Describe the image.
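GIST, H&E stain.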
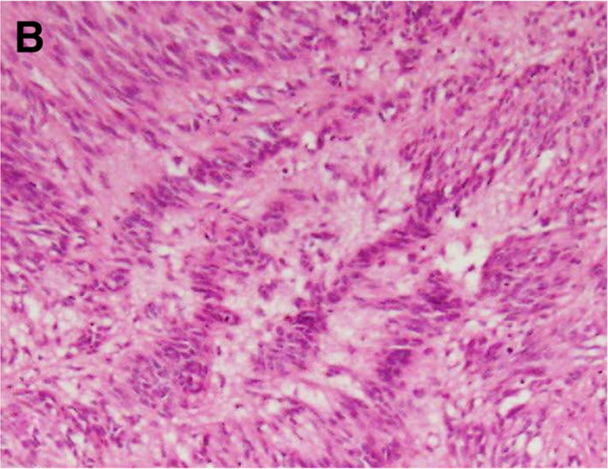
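Spindle tumour cells with elongated dark purple nuclei are gathered into bands in which the nuclei stand side by side in parallel rows. Between these rows lie paler, loosely textured zones with few nuclei and small clear spaces. The alternation of nuclear rows and nucleus-poor areas gives a palisaded look. This is a spindle cell tumour showing nuclear palisading.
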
